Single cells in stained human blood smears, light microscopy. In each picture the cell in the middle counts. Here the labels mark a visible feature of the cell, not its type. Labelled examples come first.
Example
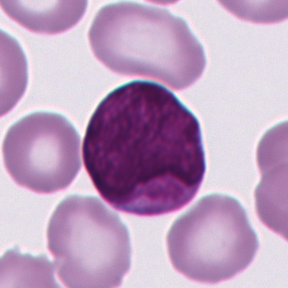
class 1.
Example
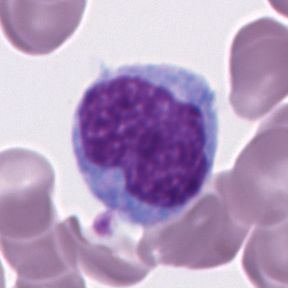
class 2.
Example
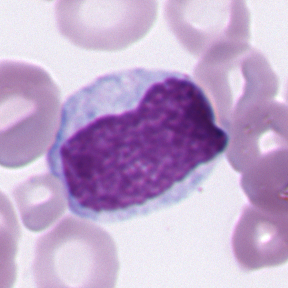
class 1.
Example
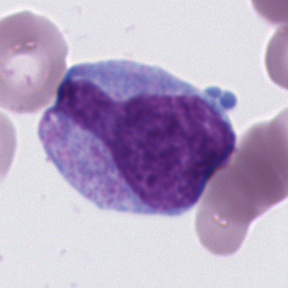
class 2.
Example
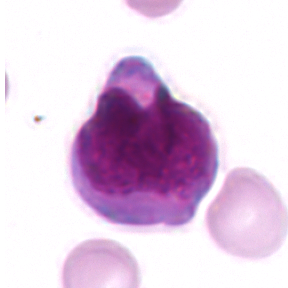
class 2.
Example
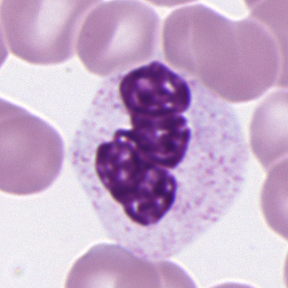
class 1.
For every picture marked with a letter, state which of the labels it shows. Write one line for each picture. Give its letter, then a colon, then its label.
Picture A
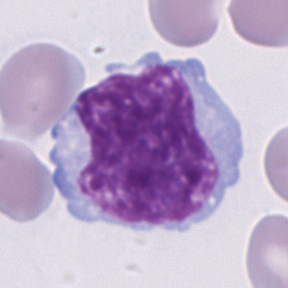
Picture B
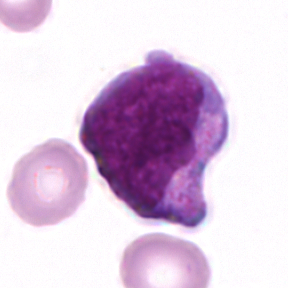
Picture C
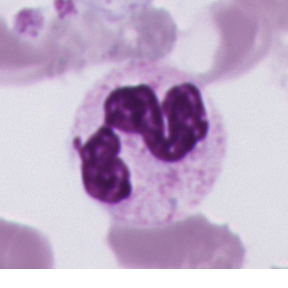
A: class 2.
B: class 2.
C: class 1.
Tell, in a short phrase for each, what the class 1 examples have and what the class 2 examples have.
Seen in class 1: smooth outline; seen in class 2: ragged outline or projections.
